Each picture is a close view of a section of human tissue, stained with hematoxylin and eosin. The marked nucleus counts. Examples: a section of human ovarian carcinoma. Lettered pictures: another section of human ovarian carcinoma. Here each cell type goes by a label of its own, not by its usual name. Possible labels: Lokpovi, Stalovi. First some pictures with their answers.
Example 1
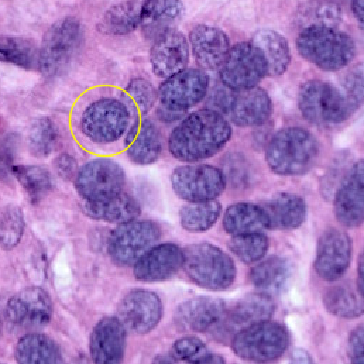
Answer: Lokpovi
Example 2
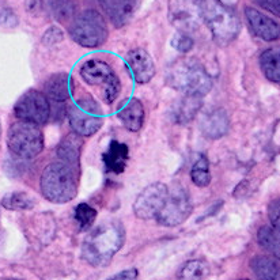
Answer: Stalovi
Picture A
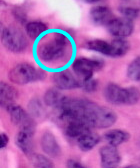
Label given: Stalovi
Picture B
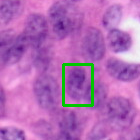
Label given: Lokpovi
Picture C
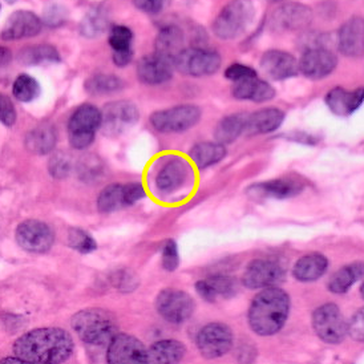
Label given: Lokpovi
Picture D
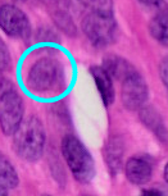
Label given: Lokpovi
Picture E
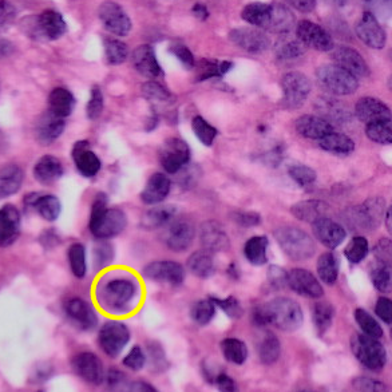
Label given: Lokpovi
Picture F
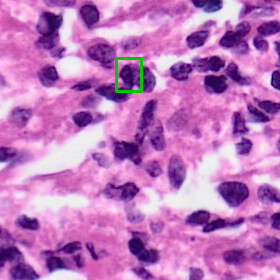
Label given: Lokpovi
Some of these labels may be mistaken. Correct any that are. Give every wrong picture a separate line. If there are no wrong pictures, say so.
A is labelled Stalovi; correct label: Lokpovi
E is labelled Lokpovi; correct label: Stalovi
